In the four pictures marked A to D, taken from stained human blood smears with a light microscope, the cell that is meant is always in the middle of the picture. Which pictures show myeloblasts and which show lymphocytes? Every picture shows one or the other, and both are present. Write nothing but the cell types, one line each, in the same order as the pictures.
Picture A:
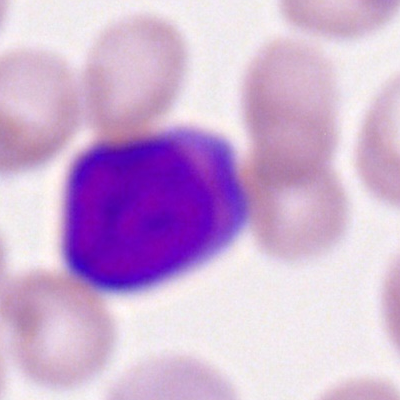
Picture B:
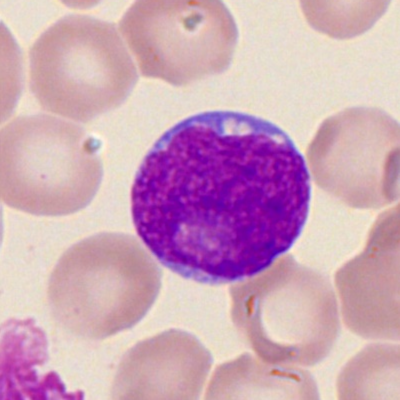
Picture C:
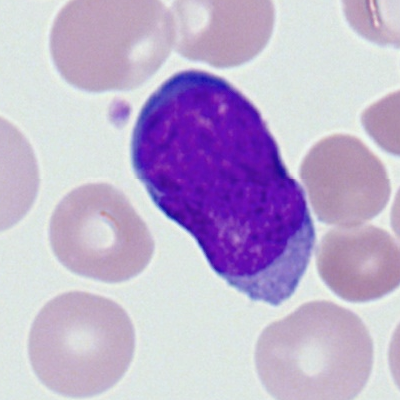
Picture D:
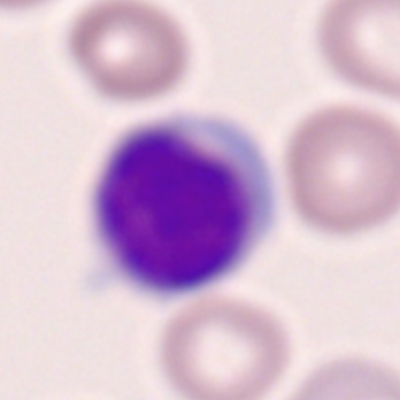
myeloblast
myeloblast
myeloblast
lymphocyte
